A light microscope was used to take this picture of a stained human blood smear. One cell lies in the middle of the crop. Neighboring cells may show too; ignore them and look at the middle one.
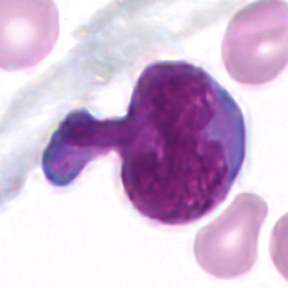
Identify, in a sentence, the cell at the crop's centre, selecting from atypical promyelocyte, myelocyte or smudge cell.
Classification of the middle cell gives an atypical promyelocyte.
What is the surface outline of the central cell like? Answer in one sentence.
Along the periphery, ragged stretches or projections make the outline irregular.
